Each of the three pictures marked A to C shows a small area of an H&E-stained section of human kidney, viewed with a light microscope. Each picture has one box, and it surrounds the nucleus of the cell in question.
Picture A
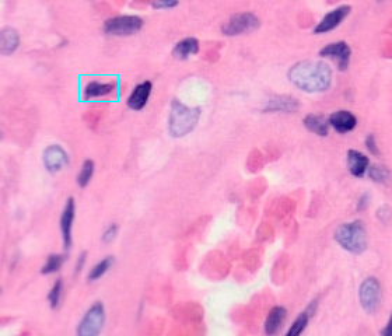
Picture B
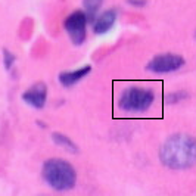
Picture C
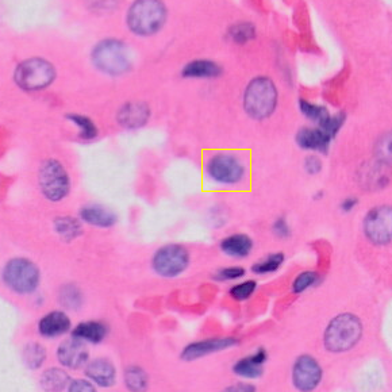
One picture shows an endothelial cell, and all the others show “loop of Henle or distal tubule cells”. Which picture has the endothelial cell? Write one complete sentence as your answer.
The cell in picture A is the endothelial cell.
